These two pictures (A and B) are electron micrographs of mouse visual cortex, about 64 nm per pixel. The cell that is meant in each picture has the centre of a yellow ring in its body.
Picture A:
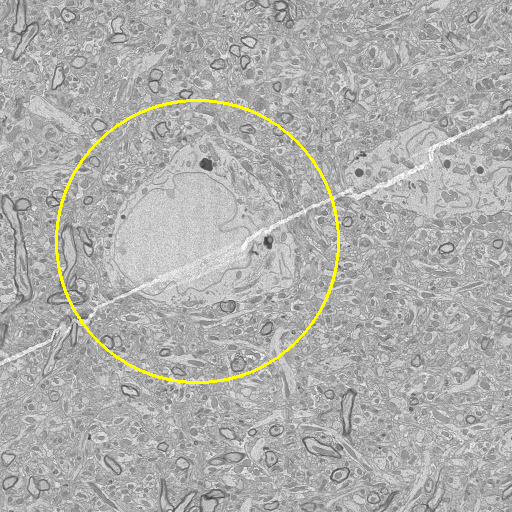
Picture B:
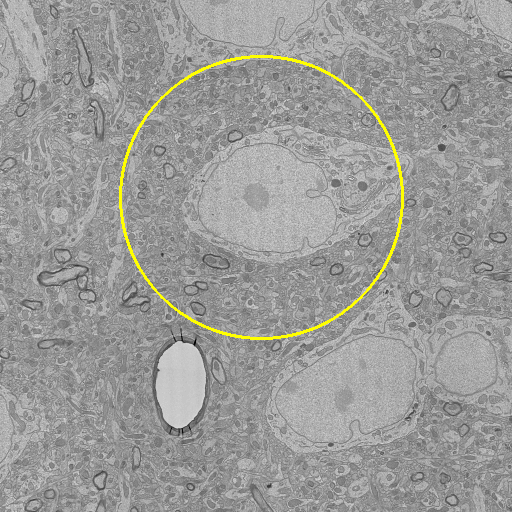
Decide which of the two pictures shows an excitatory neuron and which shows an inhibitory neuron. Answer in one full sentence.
Picture B shows an inhibitory neuron, while picture A shows an excitatory neuron.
